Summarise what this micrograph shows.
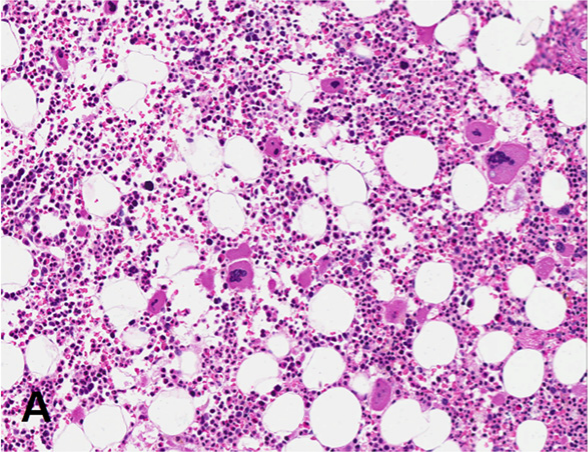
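This is bone marrow with its blood-forming cells and fat. Among the crowd of small round cells with dark purple nuclei lie scattered very large cells, the megakaryocytes, with abundant pink cytoplasm. Their nuclei are big, deeply stained and folded into several lobes, giving some a branched look. These giant cells sit mostly apart from one another. Round clear holes are fat cells, plentiful especially on the right, and the small cells between them form the rest of the marrow. Red blood cells appear as tiny pink dots, and the left part looks looser with more space between cells.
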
